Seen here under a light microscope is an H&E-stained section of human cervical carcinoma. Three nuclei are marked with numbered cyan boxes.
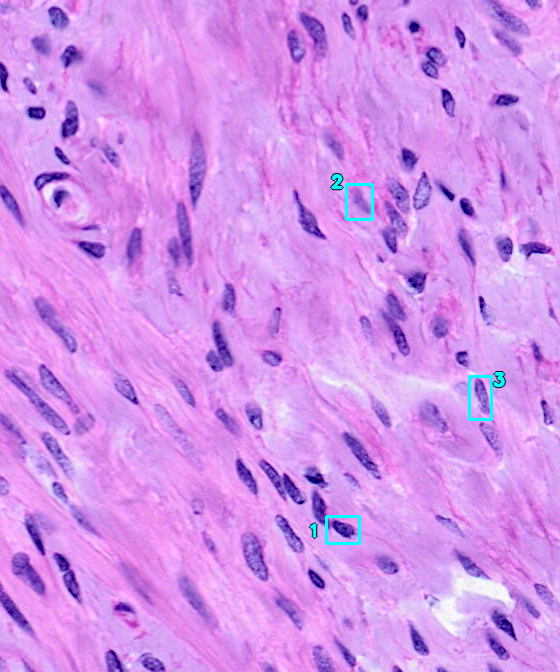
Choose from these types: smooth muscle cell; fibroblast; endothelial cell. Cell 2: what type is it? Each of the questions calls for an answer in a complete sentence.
Numbered cell 2 is a smooth muscle cell in this tissue section.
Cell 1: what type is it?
Cell 1 should be recorded as a fibroblast.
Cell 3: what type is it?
The cell tagged with 3 in this tissue section is a fibroblast.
